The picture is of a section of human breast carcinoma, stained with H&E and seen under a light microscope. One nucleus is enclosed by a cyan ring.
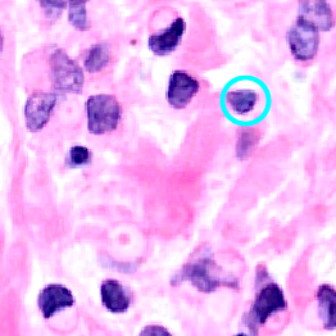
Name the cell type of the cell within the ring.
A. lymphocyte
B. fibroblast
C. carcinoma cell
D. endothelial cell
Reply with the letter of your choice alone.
A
